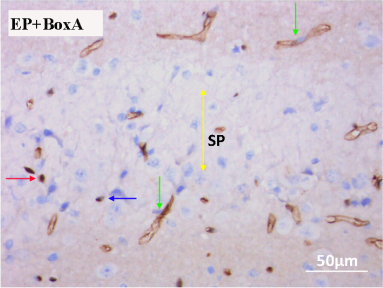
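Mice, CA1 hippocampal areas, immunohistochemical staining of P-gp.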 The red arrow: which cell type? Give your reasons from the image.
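The red arrow points at a single dark-stained cell body near the band of pale nuclei. It lies among the cells of the layer, not along a vessel wall.
Neurons.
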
